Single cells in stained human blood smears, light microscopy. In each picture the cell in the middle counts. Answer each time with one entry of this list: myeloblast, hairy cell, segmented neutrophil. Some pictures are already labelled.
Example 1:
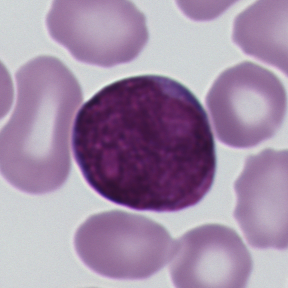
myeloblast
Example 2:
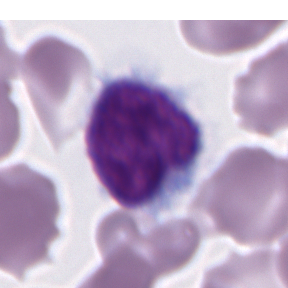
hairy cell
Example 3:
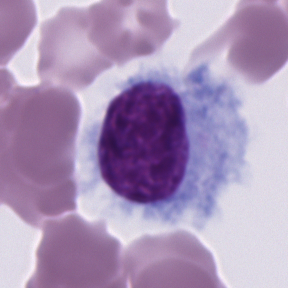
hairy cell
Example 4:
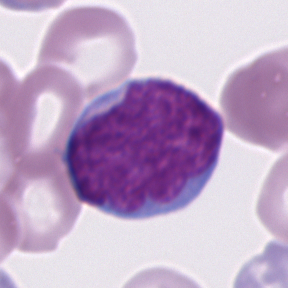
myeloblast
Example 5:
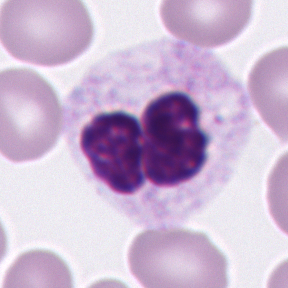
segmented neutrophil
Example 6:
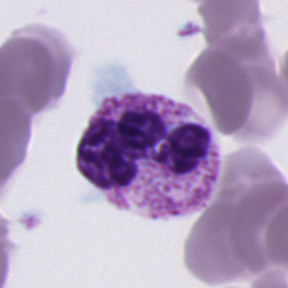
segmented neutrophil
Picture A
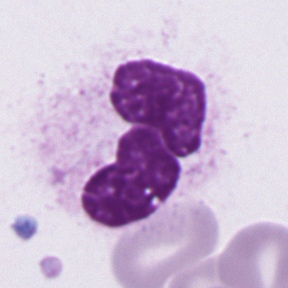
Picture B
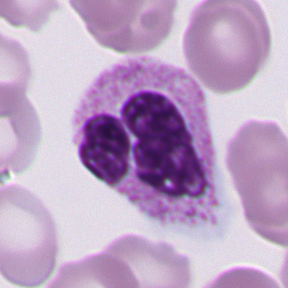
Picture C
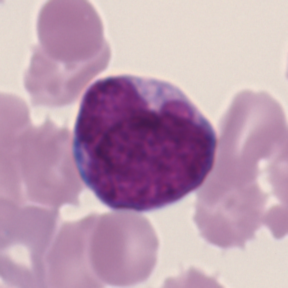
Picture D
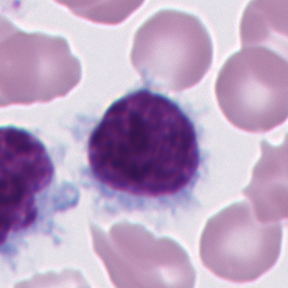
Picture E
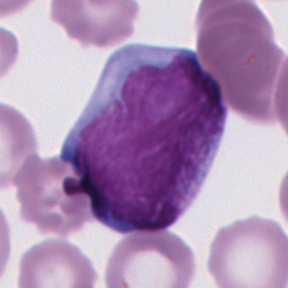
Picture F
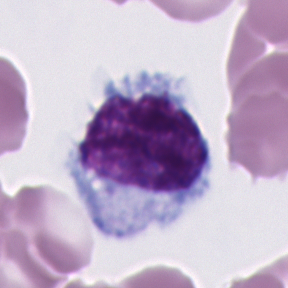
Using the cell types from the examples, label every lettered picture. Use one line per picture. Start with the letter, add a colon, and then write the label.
A: segmented neutrophil
B: segmented neutrophil
C: myeloblast
D: hairy cell
E: myeloblast
F: hairy cell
